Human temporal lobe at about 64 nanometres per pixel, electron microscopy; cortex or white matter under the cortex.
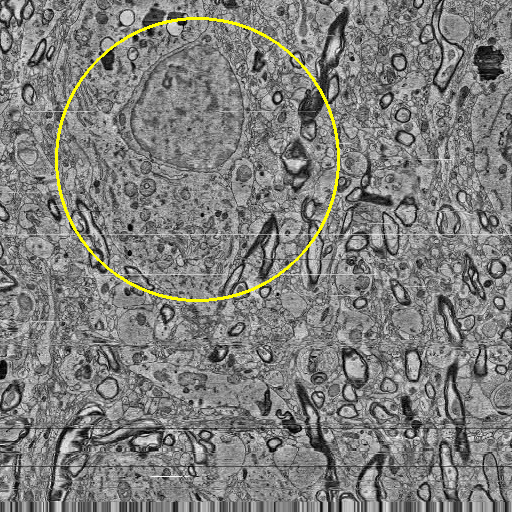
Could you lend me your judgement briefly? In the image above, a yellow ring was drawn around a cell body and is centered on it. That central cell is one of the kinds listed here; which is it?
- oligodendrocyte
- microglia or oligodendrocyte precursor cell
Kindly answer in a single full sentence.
Going by the list, an oligodendrocyte is the kind at the ring's center in the picture.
